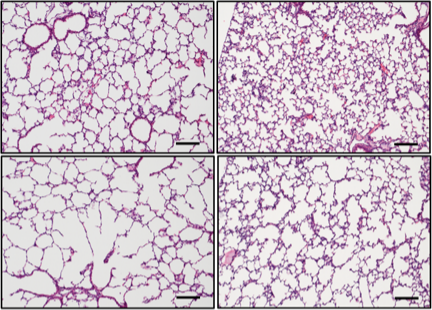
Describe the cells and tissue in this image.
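These are sections of lung parenchyma stained pink for tissue and purple for nuclei, showing a lace-like meshwork of thin alveolar walls around clear airspaces. The walls are only a few cells thick, with small purple nuclei strung along the pink septa. In the top left image several larger round airways and vessels with thicker walls sit among the airspaces, while the top right image shows a finer, denser mesh of small alveoli. In the bottom row the airspaces are larger and fewer, separated by fewer and thinner septa, so the tissue looks more open and simpler than the image above it.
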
